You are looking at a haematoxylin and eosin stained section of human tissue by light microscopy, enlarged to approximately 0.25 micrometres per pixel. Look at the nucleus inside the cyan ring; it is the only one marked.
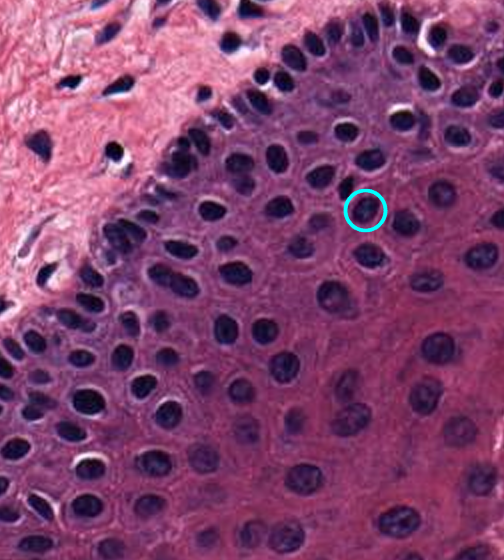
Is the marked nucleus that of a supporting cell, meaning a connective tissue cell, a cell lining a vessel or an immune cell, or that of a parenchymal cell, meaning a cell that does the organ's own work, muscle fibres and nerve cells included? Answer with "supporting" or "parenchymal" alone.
parenchymal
